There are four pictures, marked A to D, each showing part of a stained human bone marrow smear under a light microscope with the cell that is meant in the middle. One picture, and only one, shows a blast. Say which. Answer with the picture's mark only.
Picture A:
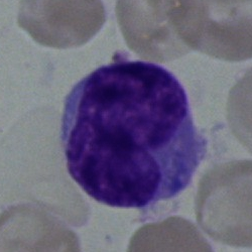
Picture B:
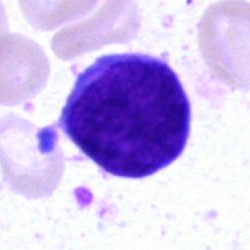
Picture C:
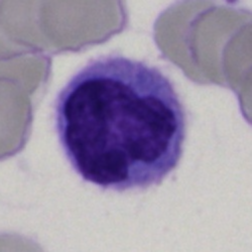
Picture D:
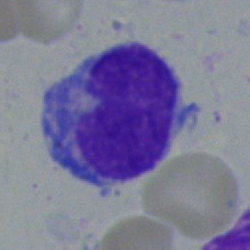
B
